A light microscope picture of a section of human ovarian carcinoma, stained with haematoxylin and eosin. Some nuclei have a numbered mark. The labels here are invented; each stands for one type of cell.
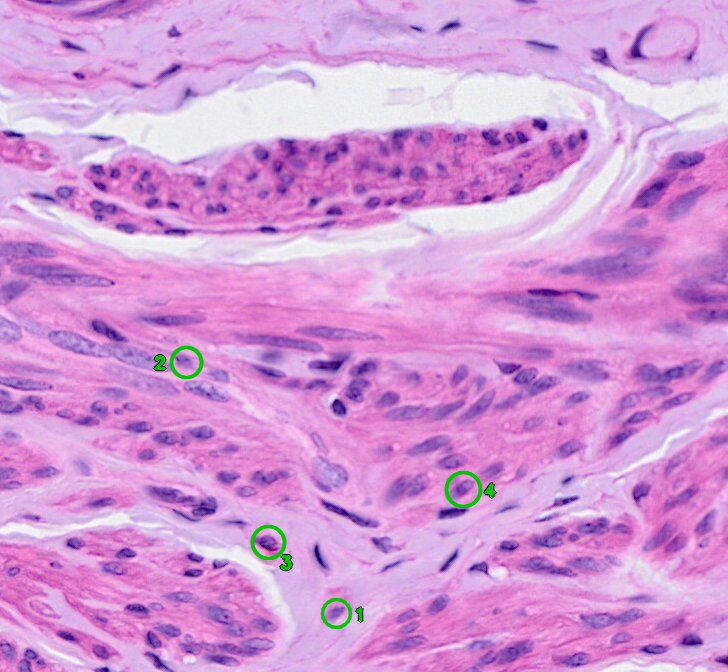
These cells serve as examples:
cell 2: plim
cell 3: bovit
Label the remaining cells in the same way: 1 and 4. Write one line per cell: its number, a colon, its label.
1: plim
4: plim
